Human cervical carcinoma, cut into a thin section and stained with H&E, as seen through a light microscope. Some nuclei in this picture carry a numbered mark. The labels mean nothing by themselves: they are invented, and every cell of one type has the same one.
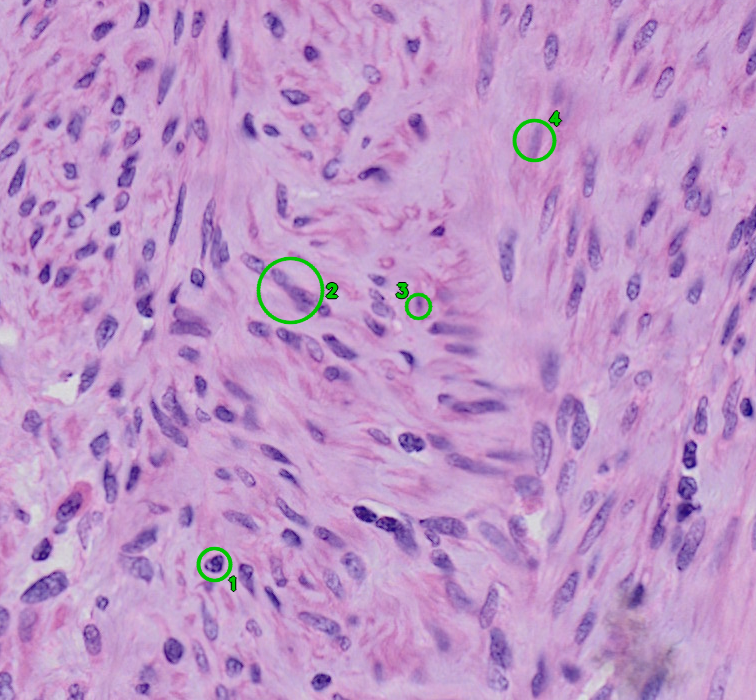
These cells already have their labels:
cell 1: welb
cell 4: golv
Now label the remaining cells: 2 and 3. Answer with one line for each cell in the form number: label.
2: golv
3: golv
